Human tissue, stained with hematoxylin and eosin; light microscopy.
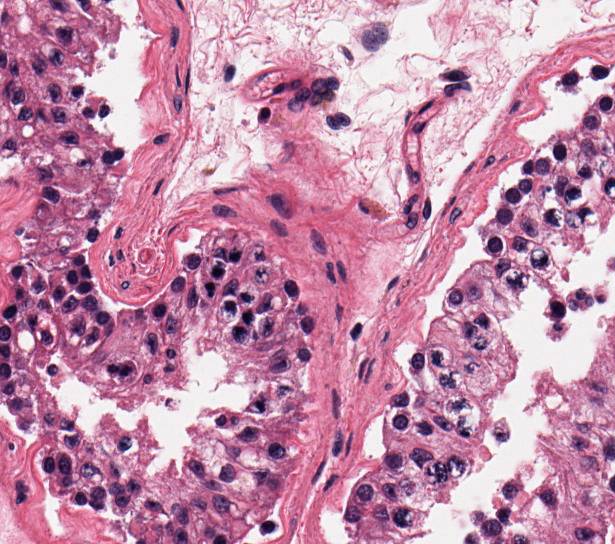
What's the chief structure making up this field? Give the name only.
seminiferous tubule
